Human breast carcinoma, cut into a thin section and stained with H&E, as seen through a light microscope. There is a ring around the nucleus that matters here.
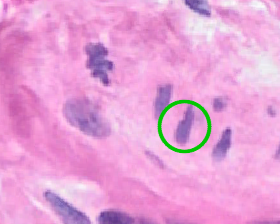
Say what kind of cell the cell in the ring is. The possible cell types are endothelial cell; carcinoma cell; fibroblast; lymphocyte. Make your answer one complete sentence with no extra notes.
Right, so the cell in the ring is an endothelial cell, to answer that.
